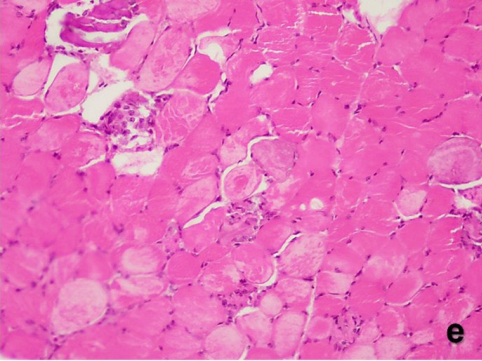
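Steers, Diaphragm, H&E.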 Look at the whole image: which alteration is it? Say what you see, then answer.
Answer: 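Among uniformly pink muscle fibers in cross section, several fibers are pale, swollen and have a granular, flocculent cytoplasm. Some altered fibers contain small clusters of nuclei. So: coagulative necrosis and degeneration of myofibers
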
